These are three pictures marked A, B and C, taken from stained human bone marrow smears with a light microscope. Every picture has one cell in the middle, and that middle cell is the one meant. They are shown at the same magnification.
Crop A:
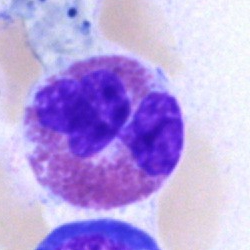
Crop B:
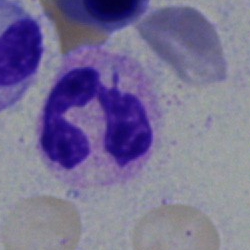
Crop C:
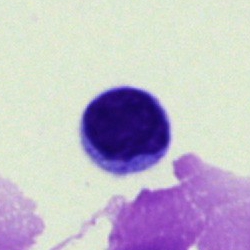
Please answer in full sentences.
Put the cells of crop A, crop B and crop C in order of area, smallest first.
From the smallest up, the order is C, B, A.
